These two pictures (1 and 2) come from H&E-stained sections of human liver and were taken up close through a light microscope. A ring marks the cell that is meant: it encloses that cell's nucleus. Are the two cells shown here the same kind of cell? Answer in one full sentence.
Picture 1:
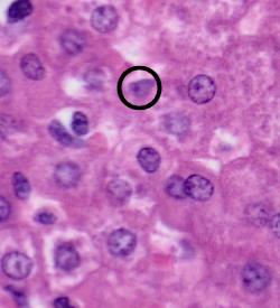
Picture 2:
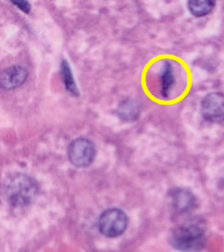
Yes; the cells in both pictures are endothelial cells.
